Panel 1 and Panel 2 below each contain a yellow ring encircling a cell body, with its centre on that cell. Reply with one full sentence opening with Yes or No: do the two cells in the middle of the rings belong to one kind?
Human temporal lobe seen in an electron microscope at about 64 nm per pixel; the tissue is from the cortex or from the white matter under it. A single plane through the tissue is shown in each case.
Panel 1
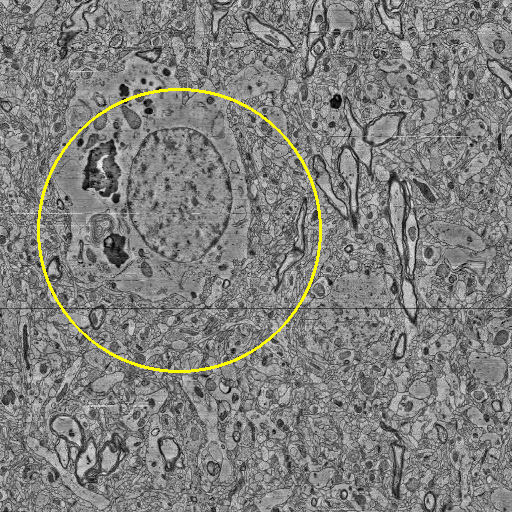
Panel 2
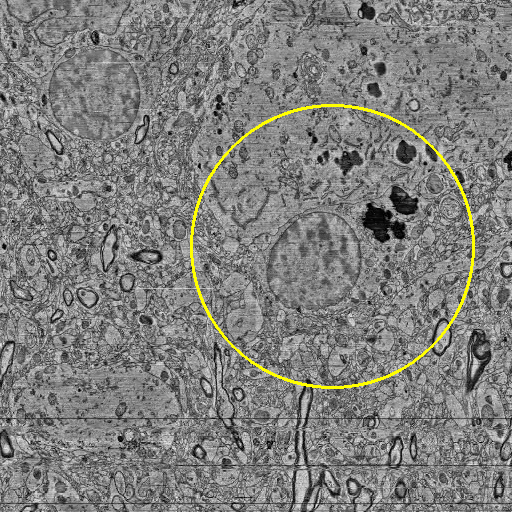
No, the cells at the middle of the Panel 1 ring and the Panel 2 ring are of two kinds.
